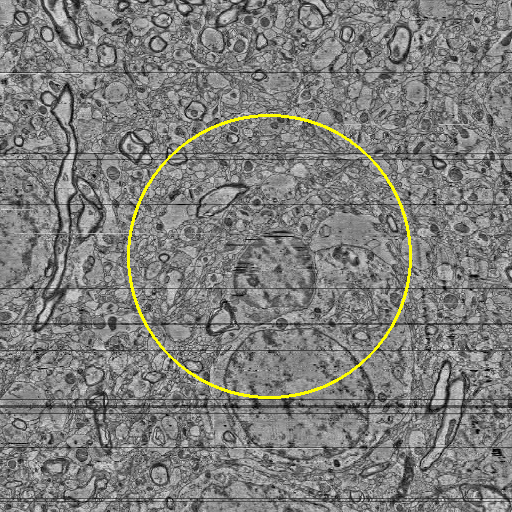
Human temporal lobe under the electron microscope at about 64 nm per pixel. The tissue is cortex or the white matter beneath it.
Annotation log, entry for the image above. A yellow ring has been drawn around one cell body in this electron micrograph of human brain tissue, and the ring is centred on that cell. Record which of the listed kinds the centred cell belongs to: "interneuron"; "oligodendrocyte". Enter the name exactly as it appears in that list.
oligodendrocyte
